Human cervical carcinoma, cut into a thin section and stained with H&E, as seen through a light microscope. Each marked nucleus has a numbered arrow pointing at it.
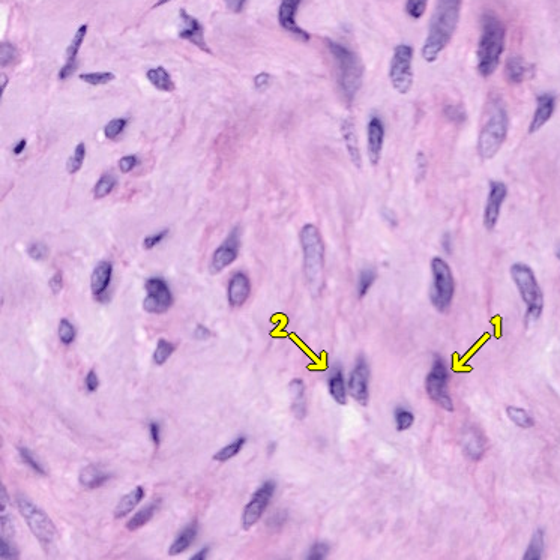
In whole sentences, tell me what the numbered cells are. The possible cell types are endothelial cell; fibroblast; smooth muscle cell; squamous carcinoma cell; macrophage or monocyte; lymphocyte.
Cell 1 is a smooth muscle cell. Cell 2 is a fibroblast.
